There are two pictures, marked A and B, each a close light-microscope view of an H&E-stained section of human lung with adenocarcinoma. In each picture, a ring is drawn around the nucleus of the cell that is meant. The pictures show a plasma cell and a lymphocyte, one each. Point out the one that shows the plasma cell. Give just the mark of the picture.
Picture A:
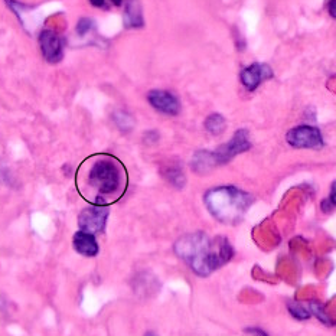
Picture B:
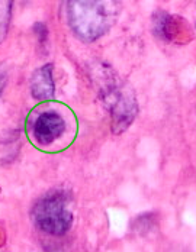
A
